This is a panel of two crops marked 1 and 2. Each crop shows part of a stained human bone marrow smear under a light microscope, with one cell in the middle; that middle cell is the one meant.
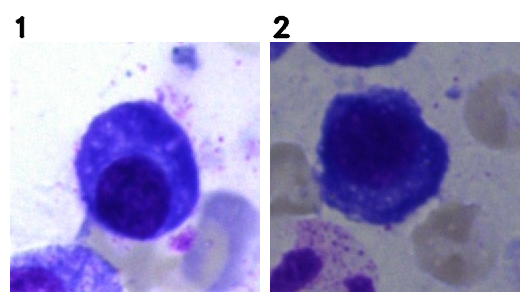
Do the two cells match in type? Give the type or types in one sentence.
Yes, the pair of crops both show plasma cells.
